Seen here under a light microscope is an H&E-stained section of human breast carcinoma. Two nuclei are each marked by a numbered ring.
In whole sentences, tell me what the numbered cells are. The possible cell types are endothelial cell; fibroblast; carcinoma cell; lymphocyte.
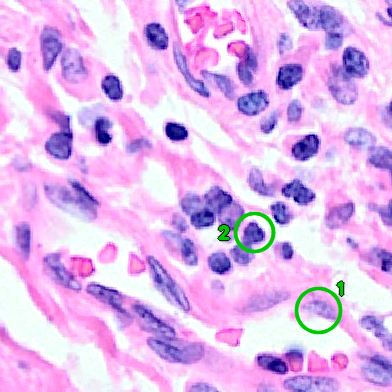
Cell 1 is an endothelial cell. Cell 2 is a lymphocyte.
